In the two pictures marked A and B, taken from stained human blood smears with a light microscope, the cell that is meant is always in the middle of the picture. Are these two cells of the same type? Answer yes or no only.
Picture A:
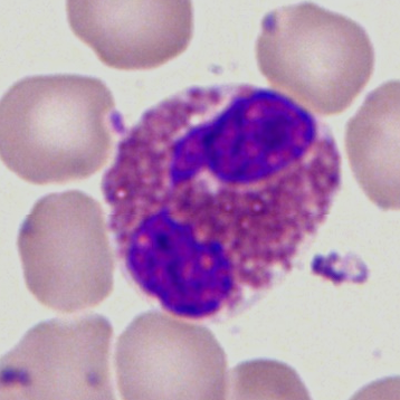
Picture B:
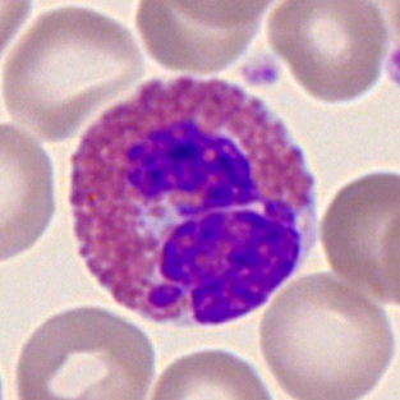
yes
